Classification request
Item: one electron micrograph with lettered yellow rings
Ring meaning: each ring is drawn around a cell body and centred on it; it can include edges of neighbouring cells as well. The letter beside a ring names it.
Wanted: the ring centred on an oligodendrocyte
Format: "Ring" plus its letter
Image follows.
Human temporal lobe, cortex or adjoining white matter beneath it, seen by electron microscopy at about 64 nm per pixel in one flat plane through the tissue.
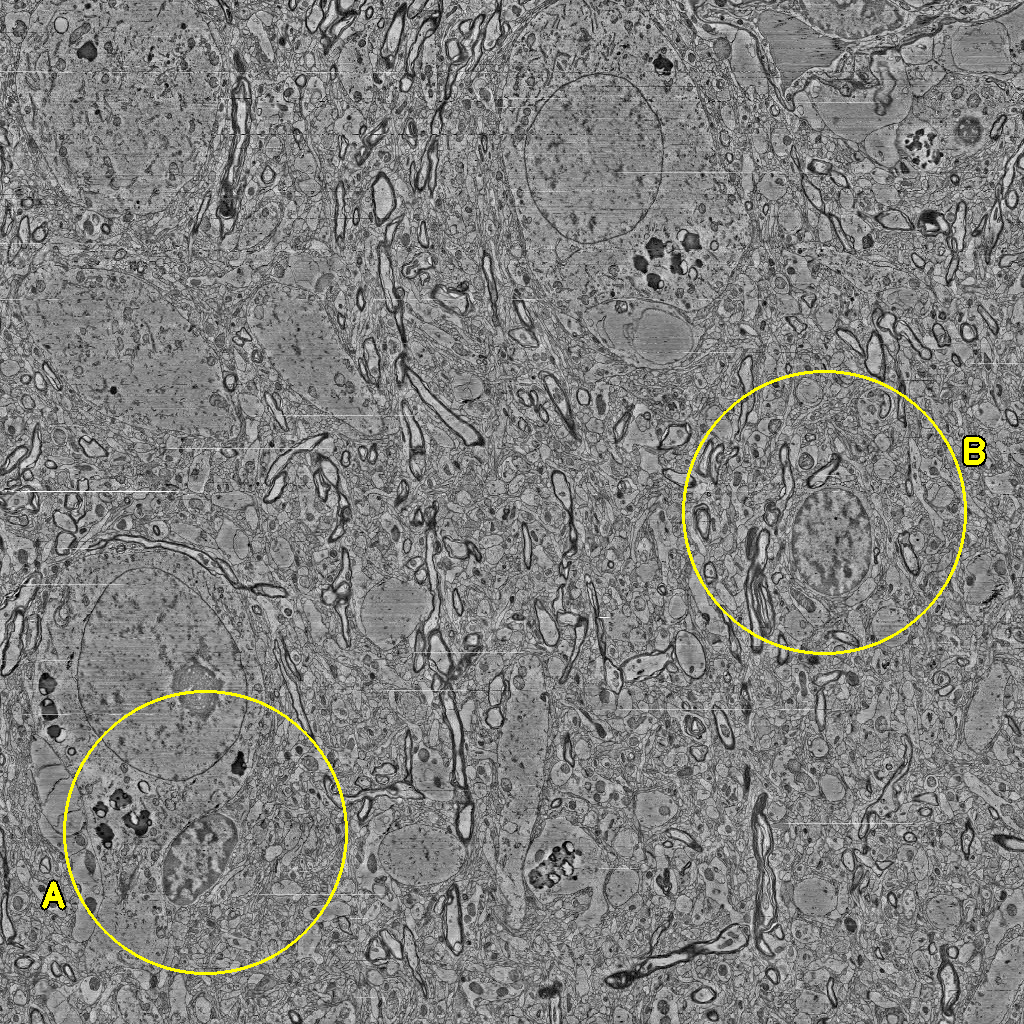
Ring B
